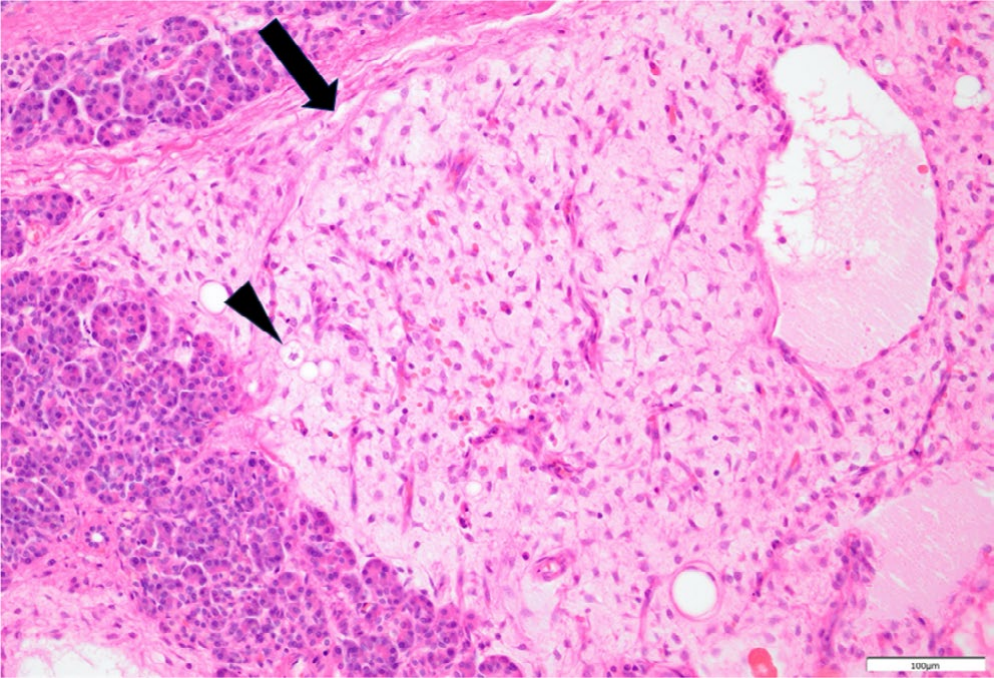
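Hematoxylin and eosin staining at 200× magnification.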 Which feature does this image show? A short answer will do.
myxoid stroma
